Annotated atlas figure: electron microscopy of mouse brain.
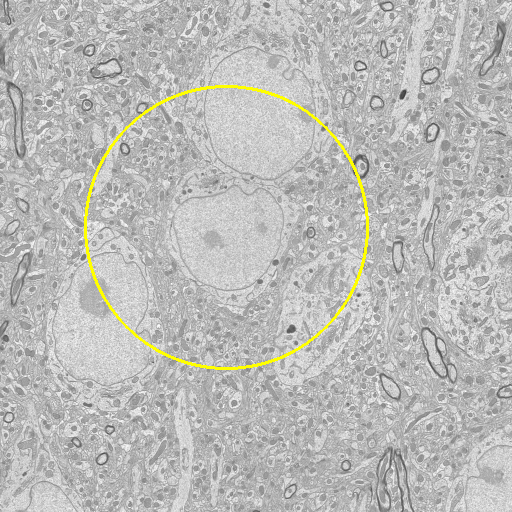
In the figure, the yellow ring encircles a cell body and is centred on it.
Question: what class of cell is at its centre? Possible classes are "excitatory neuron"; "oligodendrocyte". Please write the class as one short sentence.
The yellow ring is drawn around an excitatory neuron.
